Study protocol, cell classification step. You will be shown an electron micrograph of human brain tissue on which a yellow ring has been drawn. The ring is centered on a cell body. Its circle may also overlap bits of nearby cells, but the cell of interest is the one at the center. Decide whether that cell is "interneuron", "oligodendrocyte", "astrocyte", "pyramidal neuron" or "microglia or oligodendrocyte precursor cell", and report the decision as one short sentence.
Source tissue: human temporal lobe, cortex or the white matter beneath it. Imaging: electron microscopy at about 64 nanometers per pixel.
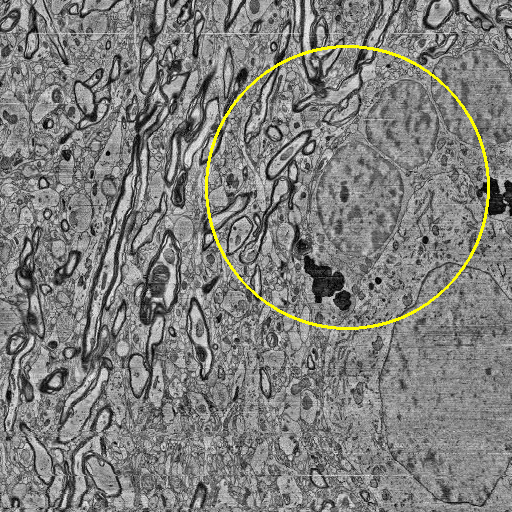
The marked cell is an oligodendrocyte.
